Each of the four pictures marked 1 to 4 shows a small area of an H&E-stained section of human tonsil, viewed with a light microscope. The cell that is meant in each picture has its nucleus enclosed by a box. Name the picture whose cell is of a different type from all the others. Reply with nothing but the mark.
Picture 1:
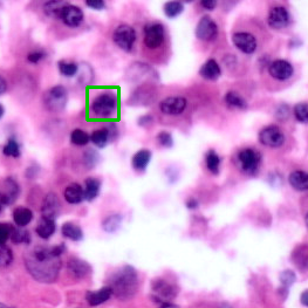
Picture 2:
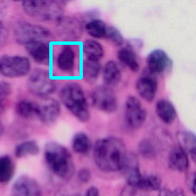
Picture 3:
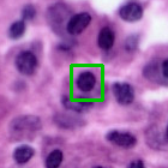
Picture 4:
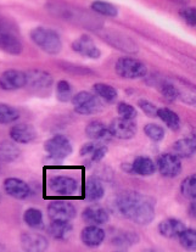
2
